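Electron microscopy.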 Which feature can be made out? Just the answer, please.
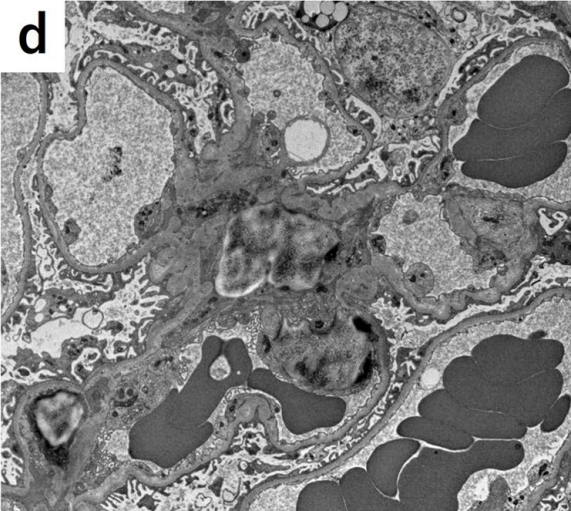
glomerulus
